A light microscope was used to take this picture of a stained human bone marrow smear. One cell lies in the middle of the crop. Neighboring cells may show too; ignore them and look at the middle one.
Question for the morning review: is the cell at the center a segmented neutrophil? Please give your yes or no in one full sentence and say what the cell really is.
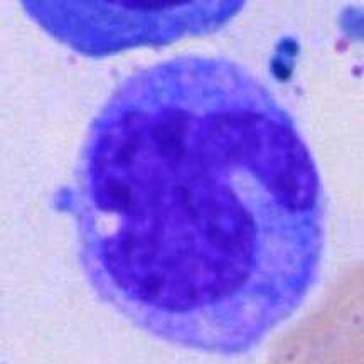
No, the one in the center is not a segmented neutrophil; it is a monocyte.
